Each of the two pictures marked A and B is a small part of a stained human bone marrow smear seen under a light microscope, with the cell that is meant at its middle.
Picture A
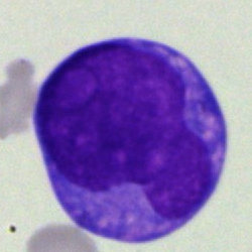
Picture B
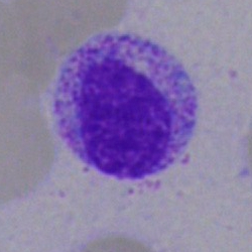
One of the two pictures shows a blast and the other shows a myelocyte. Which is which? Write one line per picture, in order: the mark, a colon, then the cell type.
A: blast
B: myelocyte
